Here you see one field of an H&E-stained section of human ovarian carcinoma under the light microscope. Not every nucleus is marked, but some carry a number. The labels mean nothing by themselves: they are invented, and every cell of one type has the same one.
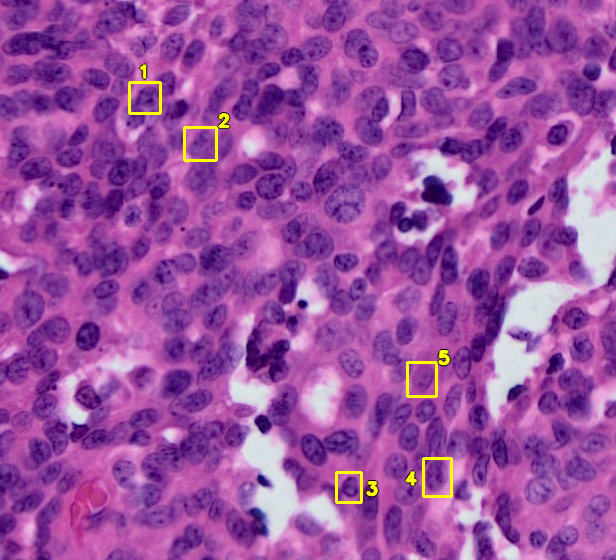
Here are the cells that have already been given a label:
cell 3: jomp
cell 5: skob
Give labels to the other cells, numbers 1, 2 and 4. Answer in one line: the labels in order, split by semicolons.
jomp; skob; skob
